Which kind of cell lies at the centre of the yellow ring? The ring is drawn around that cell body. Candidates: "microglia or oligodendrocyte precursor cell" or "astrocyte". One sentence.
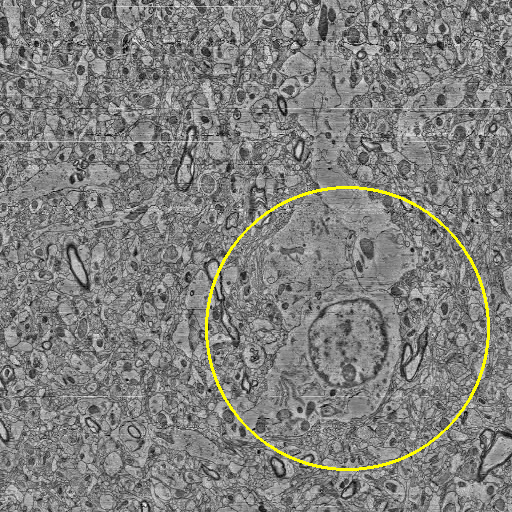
Lying at the centre of the ring is an astrocyte.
